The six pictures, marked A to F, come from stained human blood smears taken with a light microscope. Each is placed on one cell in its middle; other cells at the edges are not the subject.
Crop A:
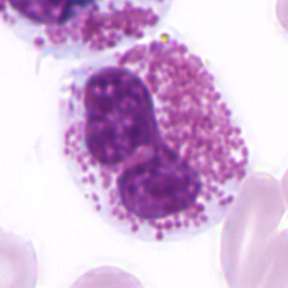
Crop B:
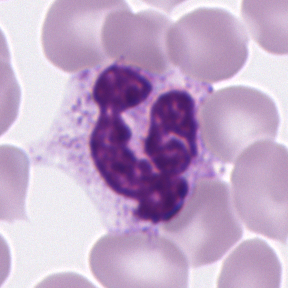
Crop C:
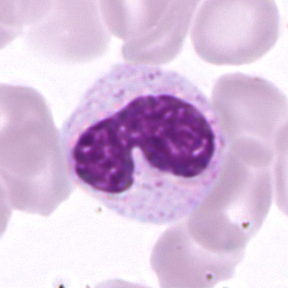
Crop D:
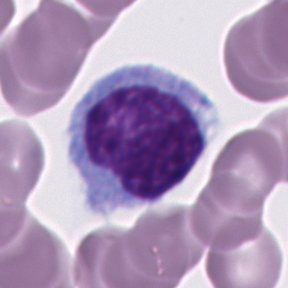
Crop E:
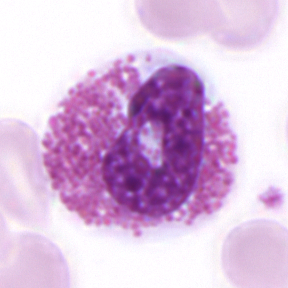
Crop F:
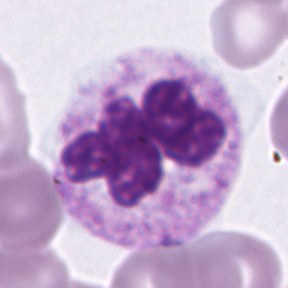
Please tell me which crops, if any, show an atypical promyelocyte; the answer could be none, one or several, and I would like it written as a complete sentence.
In every crop, the cell in the middle is not an atypical promyelocyte.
